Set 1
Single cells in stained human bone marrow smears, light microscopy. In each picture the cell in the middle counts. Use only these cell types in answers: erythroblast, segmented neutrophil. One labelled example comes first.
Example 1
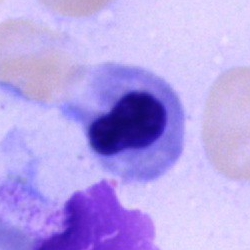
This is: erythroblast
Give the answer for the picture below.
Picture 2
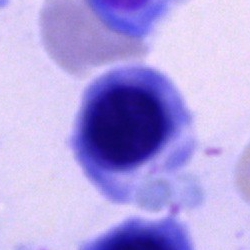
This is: erythroblast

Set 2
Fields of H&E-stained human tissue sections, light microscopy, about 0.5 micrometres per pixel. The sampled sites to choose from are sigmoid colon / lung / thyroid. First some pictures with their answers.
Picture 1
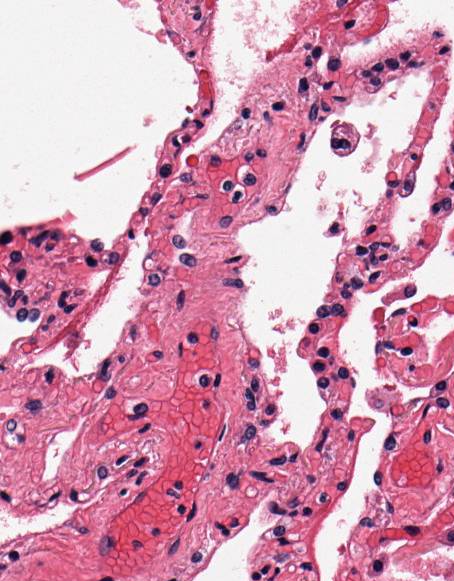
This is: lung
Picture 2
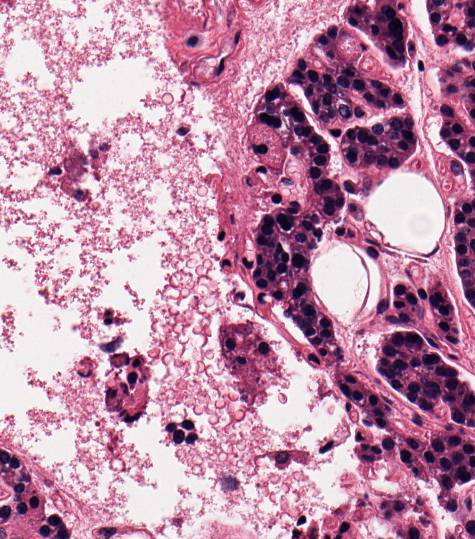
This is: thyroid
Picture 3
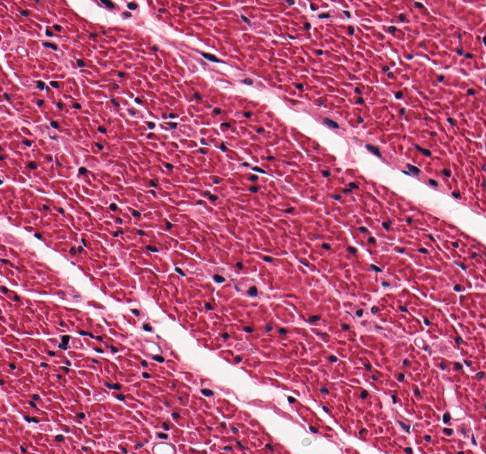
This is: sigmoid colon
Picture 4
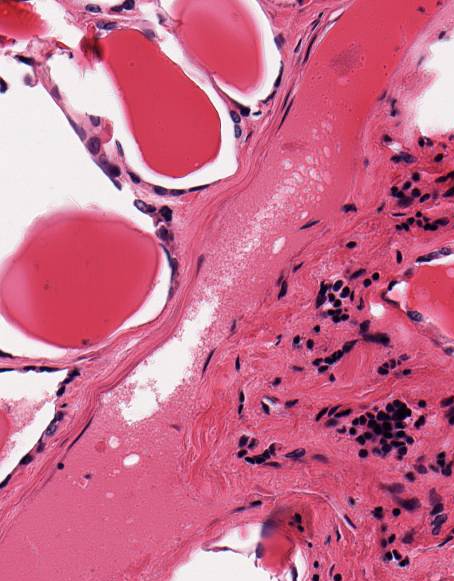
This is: thyroid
